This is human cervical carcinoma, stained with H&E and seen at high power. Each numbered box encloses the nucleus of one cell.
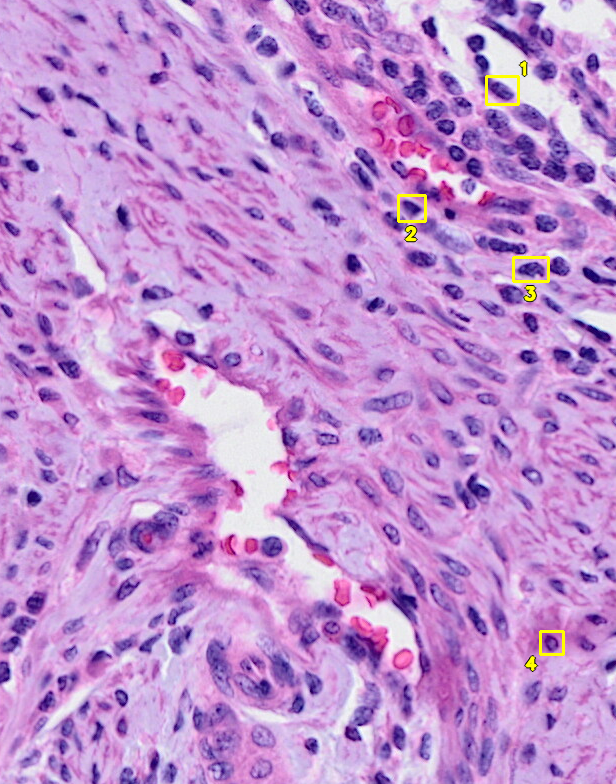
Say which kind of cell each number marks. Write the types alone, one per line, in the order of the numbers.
lymphocyte
lymphocyte
lymphocyte
smooth muscle cell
